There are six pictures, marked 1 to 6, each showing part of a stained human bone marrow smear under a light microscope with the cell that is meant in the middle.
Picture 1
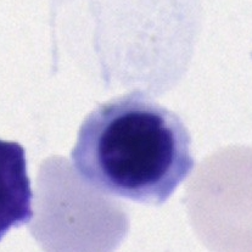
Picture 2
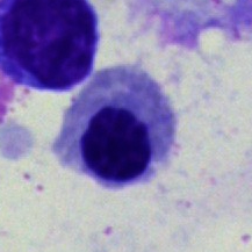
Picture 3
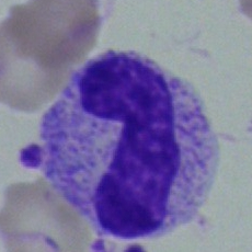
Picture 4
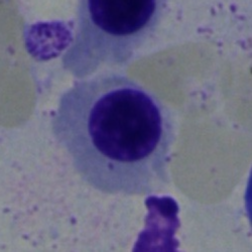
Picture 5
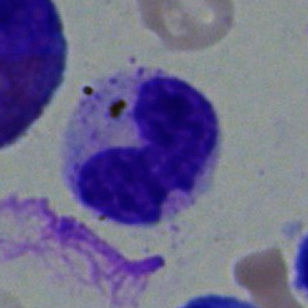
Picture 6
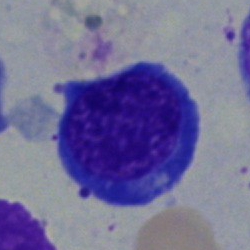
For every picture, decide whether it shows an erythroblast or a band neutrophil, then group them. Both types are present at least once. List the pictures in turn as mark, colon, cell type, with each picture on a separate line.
1: erythroblast
2: erythroblast
3: band neutrophil
4: erythroblast
5: band neutrophil
6: erythroblast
